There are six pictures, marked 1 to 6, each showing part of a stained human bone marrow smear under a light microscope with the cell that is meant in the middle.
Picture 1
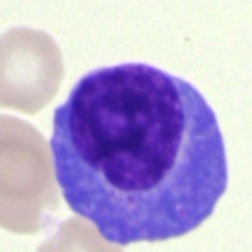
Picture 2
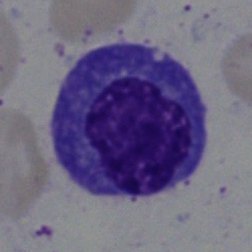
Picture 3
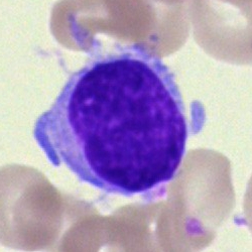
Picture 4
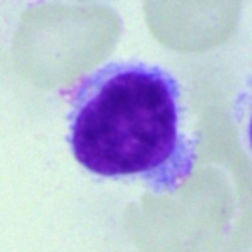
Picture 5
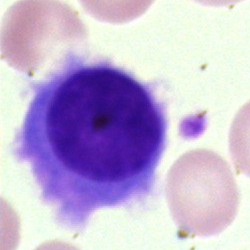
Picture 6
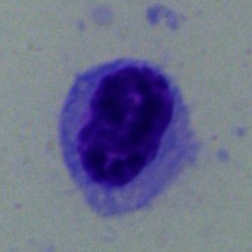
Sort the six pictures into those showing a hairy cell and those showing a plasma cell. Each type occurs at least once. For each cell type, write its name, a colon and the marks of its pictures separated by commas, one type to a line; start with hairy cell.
hairy cell: 3, 4, 5, 6
plasma cell: 1, 2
